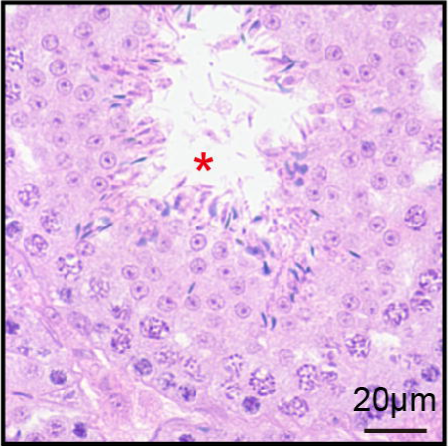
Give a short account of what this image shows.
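A seminiferous tubule at higher magnification shows several layers of germ cells with round purple nuclei around a central lumen. The lumen, marked by an asterisk, is largely white and empty. Only a few short, scattered dark elongated fragments and sparse pink threads lie in it, instead of a dense pink fibrillar mass. The surrounding epithelium still has its layered arrangement of rounded cells.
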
